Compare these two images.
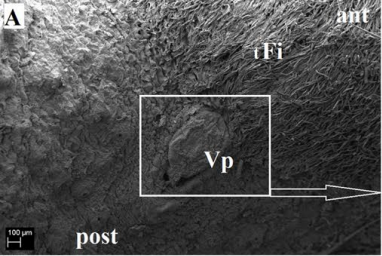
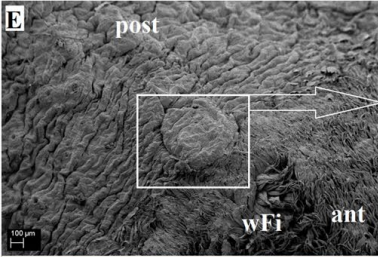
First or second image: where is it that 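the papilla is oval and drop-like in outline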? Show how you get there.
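Second image: the papilla has a round, circular outline. First image: the papilla is elongated and tapers to one end like a drop. On this evidence: the first image.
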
